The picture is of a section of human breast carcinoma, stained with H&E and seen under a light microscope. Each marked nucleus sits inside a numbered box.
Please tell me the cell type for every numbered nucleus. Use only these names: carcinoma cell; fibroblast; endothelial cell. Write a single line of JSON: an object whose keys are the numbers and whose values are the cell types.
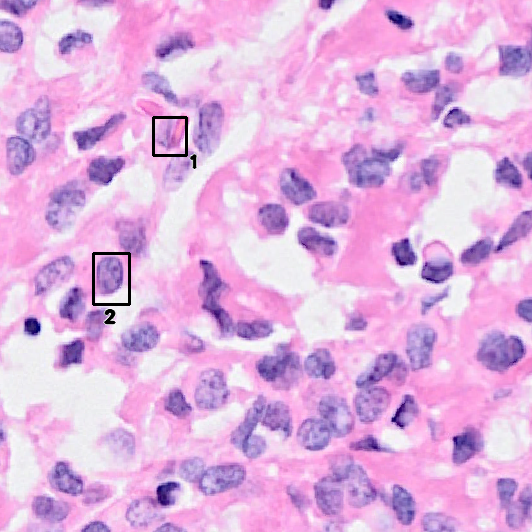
{"1": "endothelial cell", "2": "carcinoma cell"}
